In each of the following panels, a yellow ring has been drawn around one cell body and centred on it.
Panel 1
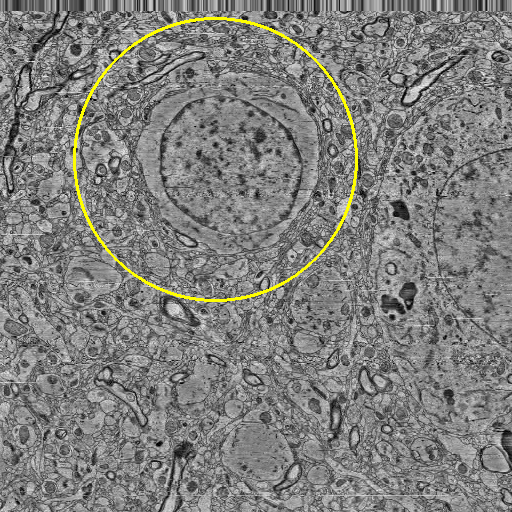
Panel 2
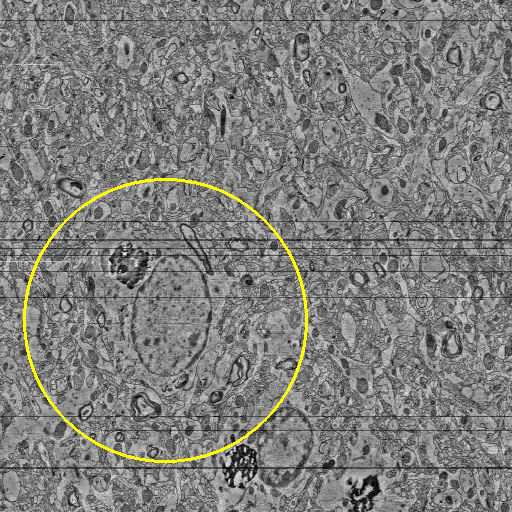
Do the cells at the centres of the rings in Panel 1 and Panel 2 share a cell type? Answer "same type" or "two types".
same type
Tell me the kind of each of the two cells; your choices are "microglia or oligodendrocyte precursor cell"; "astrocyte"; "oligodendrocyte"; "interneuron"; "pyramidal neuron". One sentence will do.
In each picture the ringed cell is an astrocyte.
